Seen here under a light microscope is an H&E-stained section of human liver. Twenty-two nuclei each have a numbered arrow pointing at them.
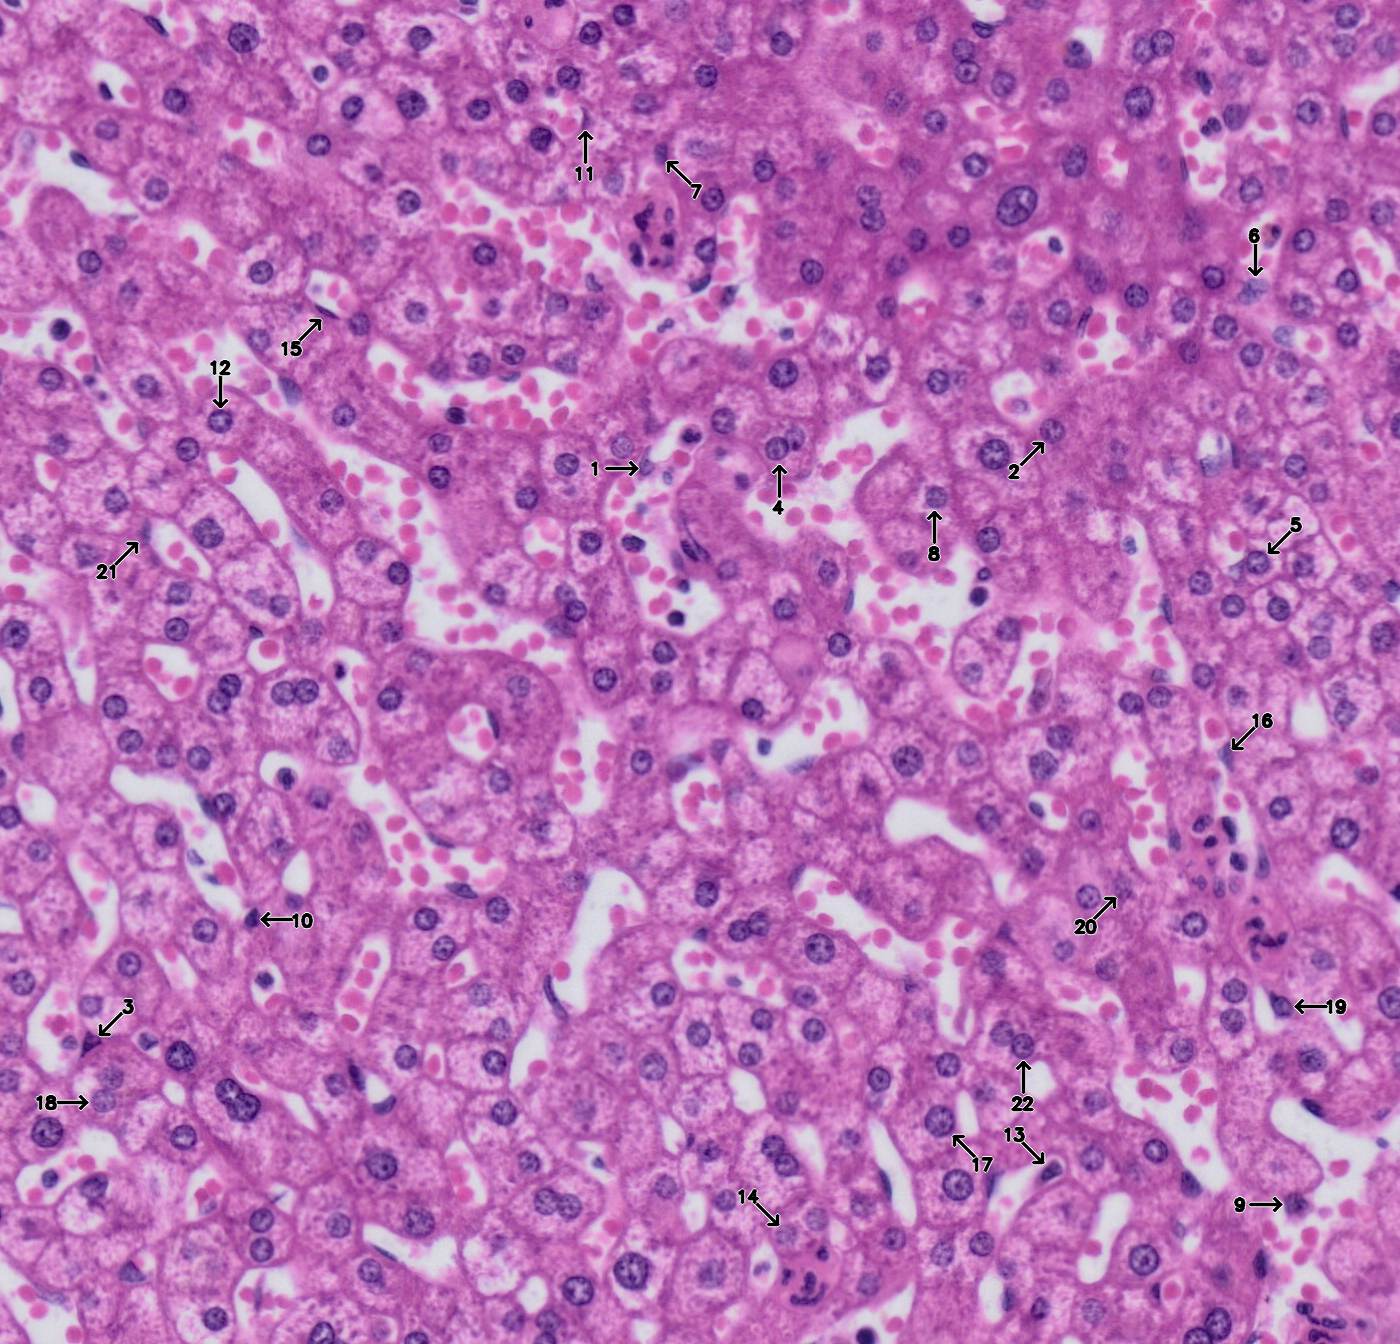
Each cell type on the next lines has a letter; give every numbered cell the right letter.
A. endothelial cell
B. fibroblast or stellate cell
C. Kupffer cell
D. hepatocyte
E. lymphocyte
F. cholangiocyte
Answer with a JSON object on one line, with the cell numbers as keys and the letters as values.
{"1": "C", "2": "D", "3": "B", "4": "D", "5": "D", "6": "A", "7": "B", "8": "D", "9": "C", "10": "B", "11": "A", "12": "D", "13": "C", "14": "D", "15": "A", "16": "A", "17": "D", "18": "D", "19": "C", "20": "D", "21": "A", "22": "D"}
